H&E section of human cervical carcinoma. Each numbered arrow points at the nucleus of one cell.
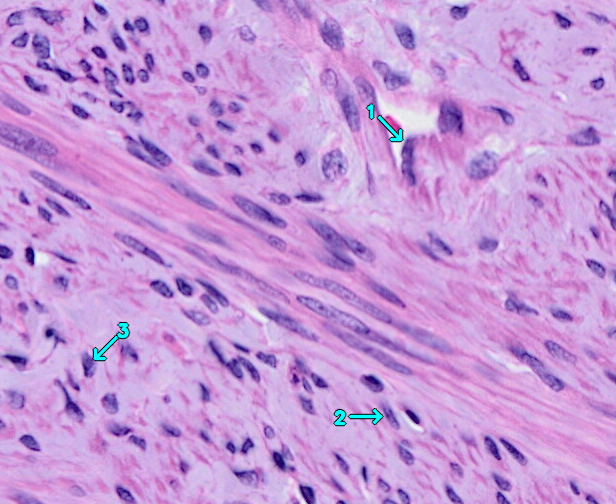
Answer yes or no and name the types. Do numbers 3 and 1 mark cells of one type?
No, with respect, cell 3 is a fibroblast and cell 1 is an endothelial cell.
